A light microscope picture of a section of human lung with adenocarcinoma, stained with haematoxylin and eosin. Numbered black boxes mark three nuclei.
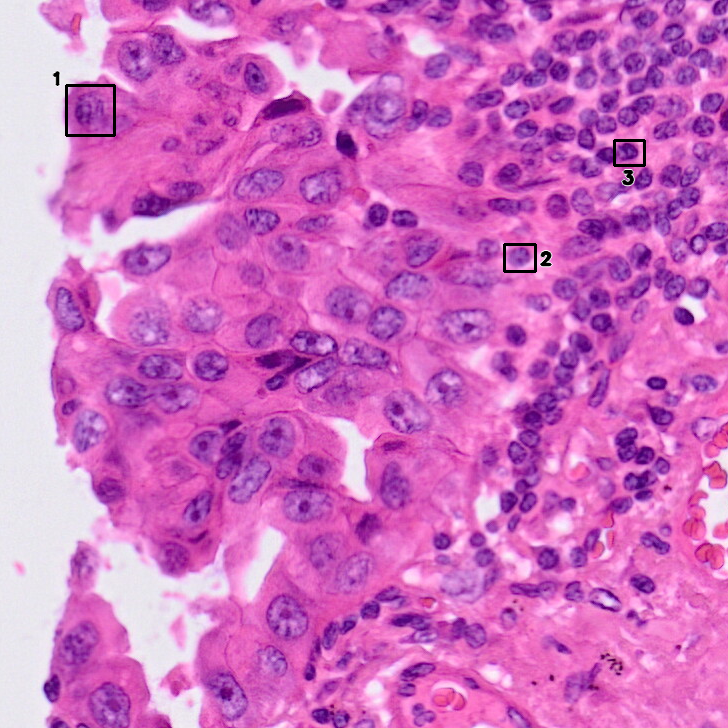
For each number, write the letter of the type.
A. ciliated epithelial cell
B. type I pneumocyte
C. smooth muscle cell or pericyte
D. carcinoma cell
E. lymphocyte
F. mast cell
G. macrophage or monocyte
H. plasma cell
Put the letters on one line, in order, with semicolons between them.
D; E; E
